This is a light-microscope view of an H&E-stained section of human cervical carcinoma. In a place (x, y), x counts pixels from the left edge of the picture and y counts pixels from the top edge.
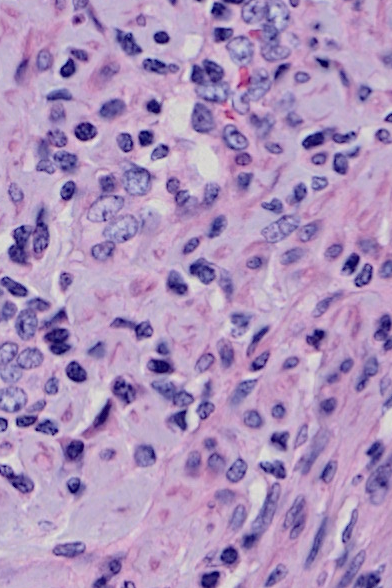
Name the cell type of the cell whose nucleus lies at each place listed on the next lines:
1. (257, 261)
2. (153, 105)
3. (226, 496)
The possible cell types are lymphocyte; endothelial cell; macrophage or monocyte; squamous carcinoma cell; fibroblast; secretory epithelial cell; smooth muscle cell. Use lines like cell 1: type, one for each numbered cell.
cell 1: smooth muscle cell
cell 2: lymphocyte
cell 3: smooth muscle cell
